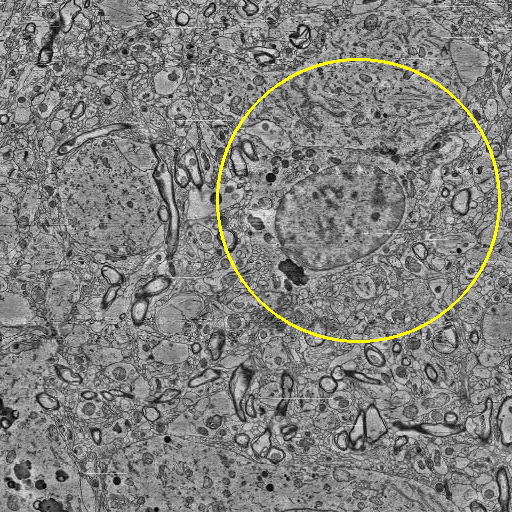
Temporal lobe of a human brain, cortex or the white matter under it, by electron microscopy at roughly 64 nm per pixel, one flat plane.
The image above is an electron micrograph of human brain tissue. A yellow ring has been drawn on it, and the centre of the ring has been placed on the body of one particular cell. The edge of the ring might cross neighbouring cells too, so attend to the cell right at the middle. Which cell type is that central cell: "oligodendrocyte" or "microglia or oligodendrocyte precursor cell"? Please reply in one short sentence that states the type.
The central cell in the ring is an oligodendrocyte.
